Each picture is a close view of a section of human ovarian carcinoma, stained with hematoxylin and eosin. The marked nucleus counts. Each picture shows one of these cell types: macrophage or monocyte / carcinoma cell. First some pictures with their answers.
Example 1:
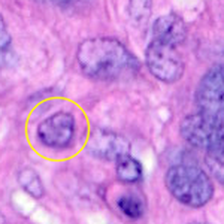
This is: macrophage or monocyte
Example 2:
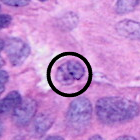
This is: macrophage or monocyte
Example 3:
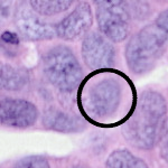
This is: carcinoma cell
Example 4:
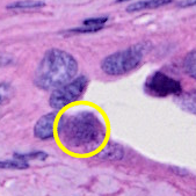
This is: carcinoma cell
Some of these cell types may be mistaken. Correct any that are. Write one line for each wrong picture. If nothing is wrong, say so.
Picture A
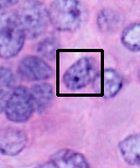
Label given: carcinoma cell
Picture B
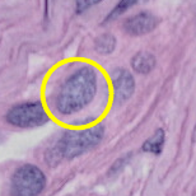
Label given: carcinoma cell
A: macrophage or monocyte, not carcinoma cell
